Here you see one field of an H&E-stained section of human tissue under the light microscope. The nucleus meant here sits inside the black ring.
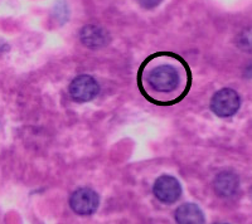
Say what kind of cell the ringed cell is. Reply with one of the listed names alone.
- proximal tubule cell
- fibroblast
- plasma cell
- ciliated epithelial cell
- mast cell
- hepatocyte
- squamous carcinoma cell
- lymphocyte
hepatocyte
